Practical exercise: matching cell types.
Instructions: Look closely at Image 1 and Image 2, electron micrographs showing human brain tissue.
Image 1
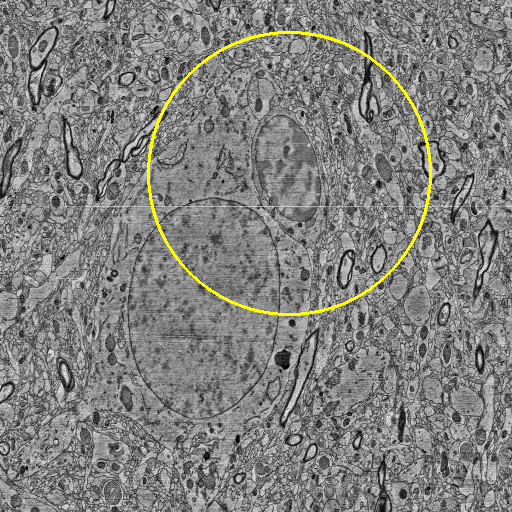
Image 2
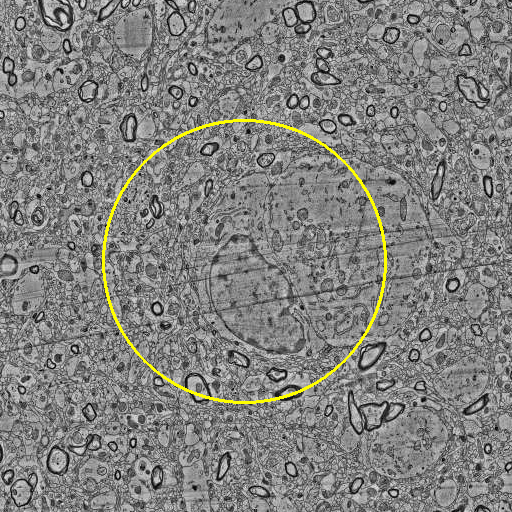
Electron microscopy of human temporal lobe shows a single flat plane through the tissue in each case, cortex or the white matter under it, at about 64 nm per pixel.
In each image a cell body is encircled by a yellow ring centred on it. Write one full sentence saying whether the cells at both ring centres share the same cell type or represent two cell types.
Across Image 1 and Image 2, the cells at the ring centres represent two cell types.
